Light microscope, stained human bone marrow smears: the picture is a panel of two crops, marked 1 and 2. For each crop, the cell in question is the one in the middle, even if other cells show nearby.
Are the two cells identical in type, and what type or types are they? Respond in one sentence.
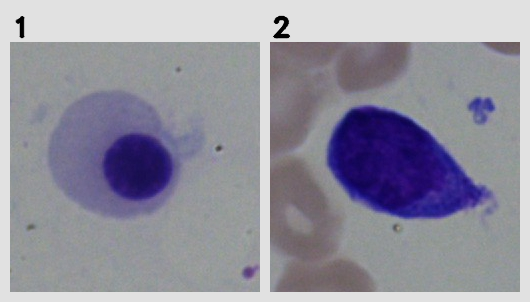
No, an erythroblast occupies the middle of crop 1, and a blast the middle of crop 2.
